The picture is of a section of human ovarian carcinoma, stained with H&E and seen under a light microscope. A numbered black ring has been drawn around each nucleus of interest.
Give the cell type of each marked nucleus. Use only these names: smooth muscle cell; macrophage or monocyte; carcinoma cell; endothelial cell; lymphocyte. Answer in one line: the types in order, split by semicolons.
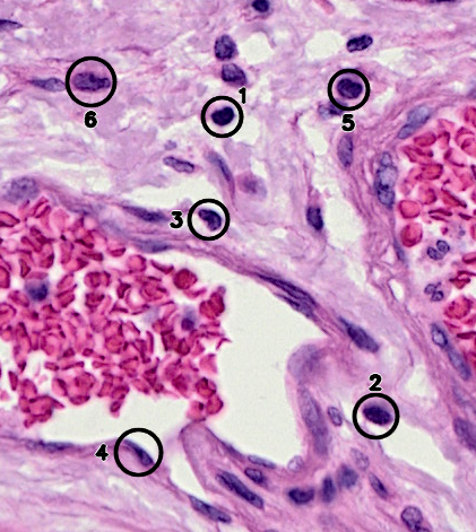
lymphocyte; lymphocyte; lymphocyte; endothelial cell; lymphocyte; macrophage or monocyte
